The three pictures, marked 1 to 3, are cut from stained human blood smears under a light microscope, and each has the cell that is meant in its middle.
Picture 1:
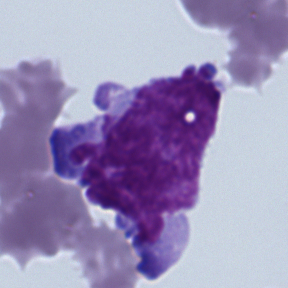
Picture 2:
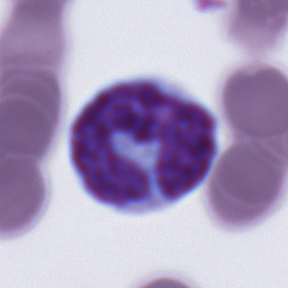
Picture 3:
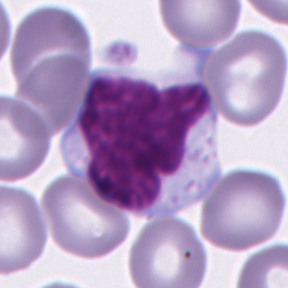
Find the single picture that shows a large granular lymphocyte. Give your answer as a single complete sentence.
Picture 3 is the one that shows the large granular lymphocyte.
